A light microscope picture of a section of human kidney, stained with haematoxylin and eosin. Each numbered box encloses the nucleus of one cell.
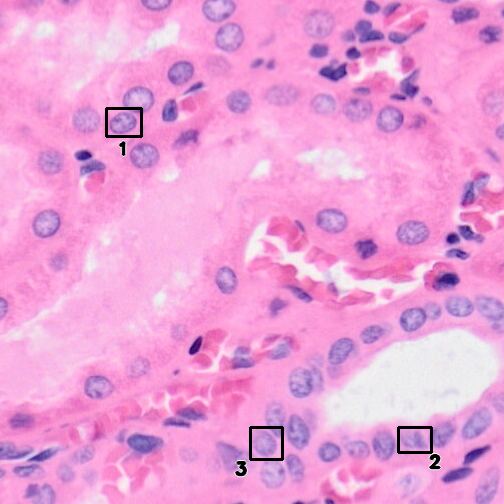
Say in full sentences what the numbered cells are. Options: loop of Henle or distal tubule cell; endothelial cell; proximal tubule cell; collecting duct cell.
Cell 1 is a proximal tubule cell, cell 2 is a collecting duct cell and cell 3 is a collecting duct cell.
